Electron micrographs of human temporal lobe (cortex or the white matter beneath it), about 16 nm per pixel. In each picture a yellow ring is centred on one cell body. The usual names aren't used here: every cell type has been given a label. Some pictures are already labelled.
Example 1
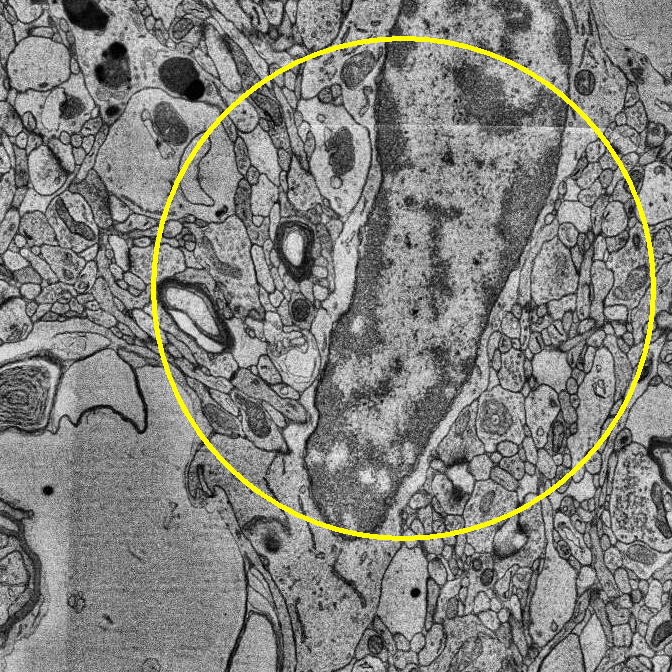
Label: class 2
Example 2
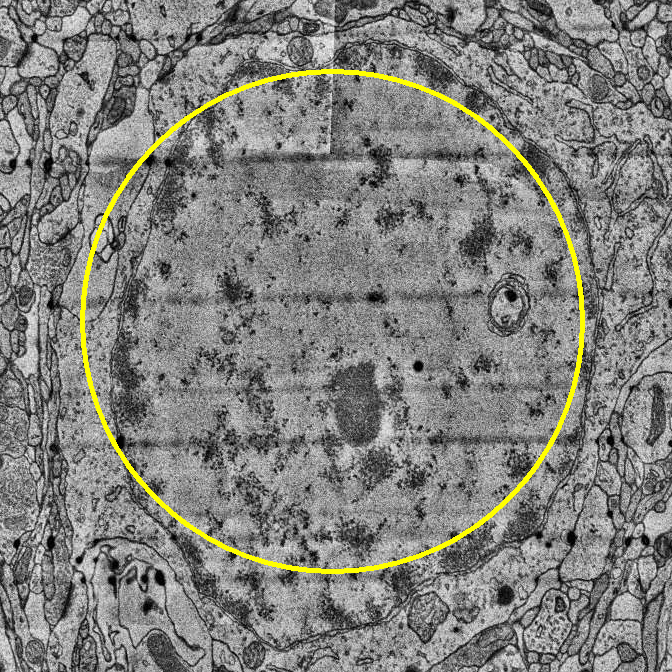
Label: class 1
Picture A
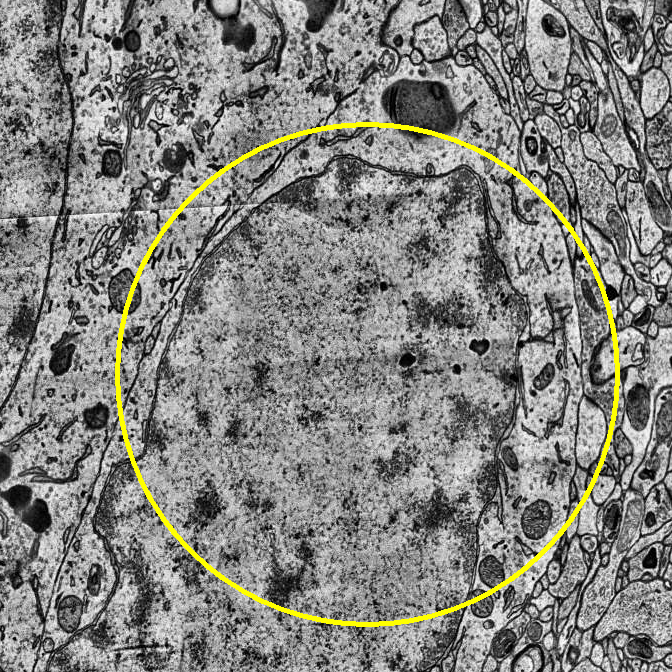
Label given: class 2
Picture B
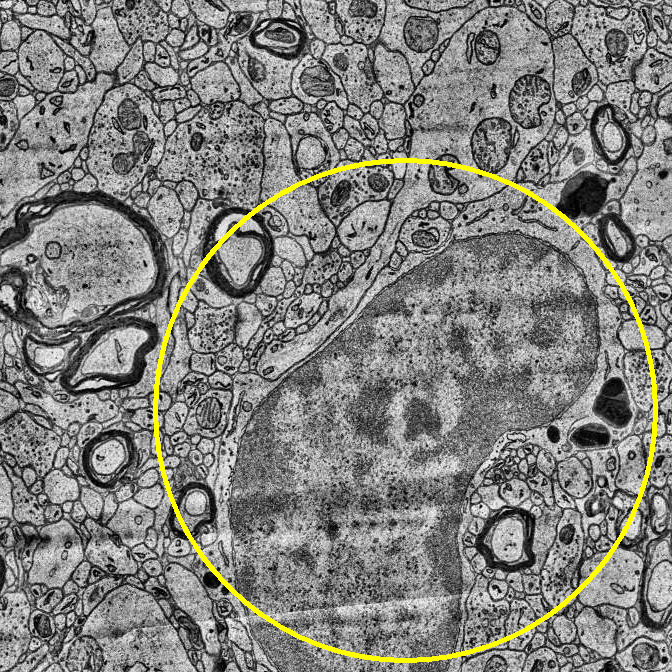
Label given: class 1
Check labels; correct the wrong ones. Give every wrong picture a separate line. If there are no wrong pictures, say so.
A is labelled class 2; correct label: class 1
B is labelled class 1; correct label: class 2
